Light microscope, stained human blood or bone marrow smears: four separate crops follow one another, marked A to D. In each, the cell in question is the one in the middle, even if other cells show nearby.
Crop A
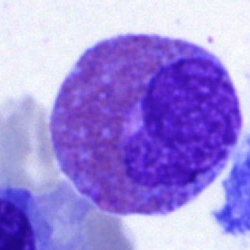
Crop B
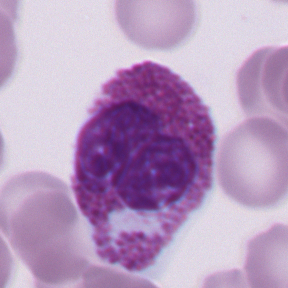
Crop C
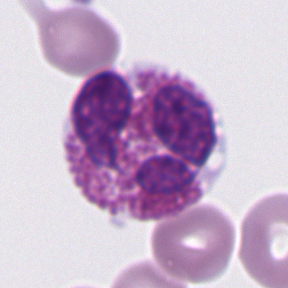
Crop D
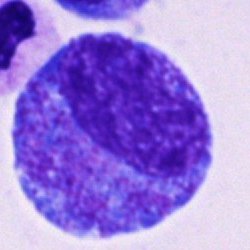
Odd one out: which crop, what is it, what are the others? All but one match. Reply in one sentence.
Crop D shows a promyelocyte; by contrast, all the other crops show eosinophils.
